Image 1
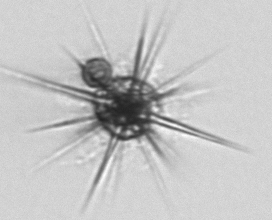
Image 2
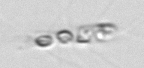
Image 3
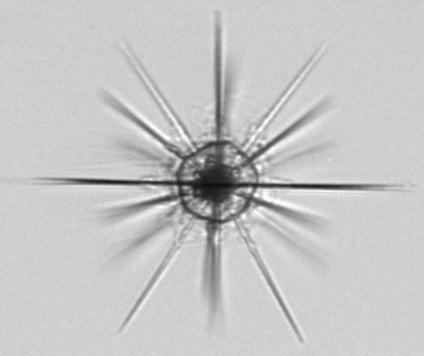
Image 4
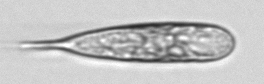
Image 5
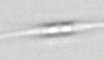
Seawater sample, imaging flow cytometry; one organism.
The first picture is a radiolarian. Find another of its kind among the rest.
Picture 3.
